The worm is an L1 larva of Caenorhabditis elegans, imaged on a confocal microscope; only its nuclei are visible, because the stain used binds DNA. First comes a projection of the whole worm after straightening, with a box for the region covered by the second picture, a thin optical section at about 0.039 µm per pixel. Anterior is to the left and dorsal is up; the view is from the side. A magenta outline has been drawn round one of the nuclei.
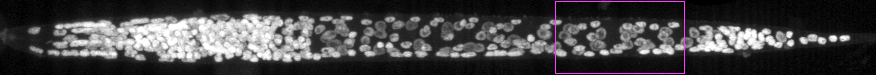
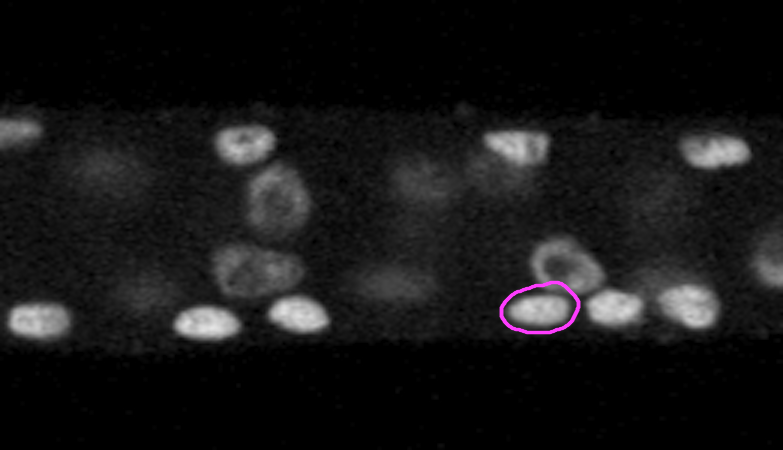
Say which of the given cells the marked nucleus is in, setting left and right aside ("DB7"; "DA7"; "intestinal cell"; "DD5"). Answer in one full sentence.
The marked nucleus is that of DD5, a neuron.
